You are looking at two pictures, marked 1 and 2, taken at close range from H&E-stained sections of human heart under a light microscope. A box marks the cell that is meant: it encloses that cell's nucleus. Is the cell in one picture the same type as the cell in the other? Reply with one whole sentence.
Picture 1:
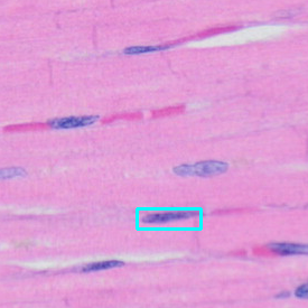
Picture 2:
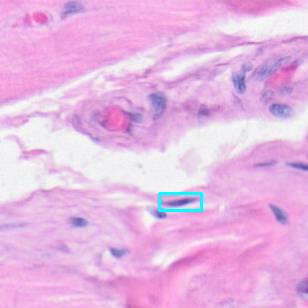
No, the types are not the same, since picture 1 shows an endothelial cell and picture 2 a fibroblast.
